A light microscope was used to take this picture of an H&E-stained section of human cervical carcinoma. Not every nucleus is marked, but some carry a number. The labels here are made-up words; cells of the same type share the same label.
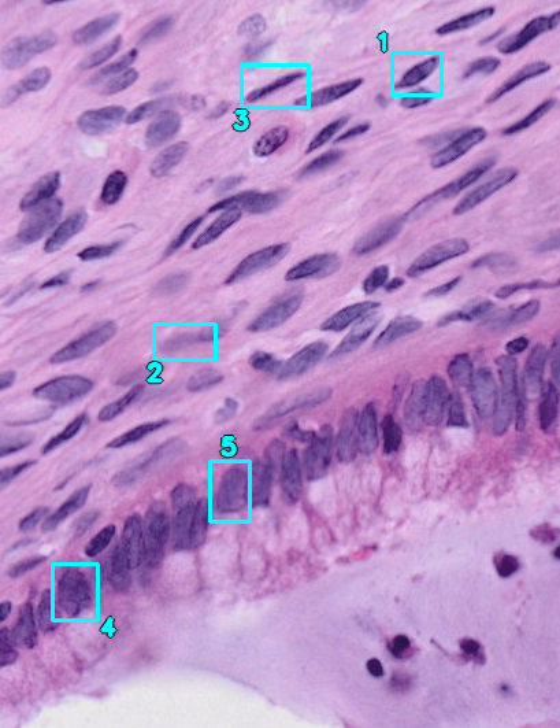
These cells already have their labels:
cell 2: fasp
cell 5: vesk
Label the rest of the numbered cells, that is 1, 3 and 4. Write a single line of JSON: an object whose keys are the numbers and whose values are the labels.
{"1": "fasp", "3": "fasp", "4": "vesk"}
